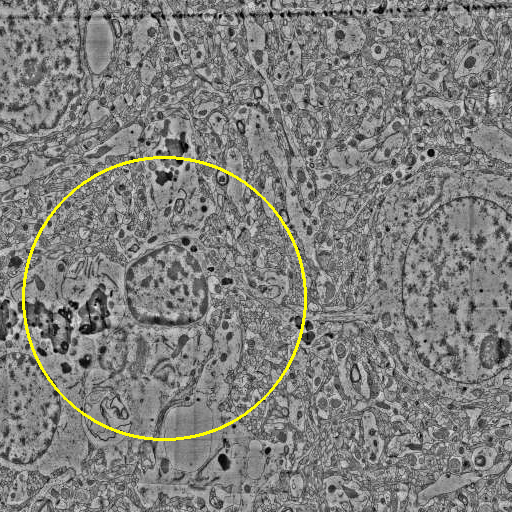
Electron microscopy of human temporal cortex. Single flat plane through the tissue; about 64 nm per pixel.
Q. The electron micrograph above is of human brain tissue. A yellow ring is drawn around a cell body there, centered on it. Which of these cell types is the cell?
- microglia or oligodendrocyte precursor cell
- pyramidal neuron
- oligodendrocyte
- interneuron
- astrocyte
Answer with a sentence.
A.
The cell under the ring's center is a microglial cell or oligodendrocyte precursor cell.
